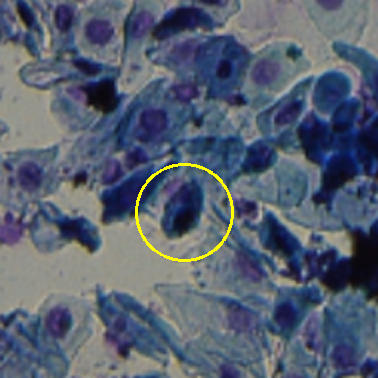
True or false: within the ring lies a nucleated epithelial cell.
False: a cornified epithelial cell lies within the ring.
